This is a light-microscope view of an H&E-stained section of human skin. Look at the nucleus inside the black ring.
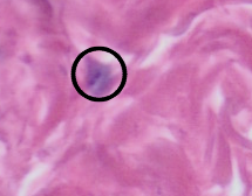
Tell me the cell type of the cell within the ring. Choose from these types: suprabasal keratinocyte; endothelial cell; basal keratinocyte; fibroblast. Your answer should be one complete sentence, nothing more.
In the context of this tissue, the cell within the ring is a fibroblast.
